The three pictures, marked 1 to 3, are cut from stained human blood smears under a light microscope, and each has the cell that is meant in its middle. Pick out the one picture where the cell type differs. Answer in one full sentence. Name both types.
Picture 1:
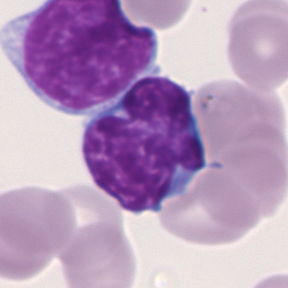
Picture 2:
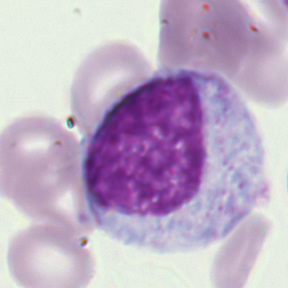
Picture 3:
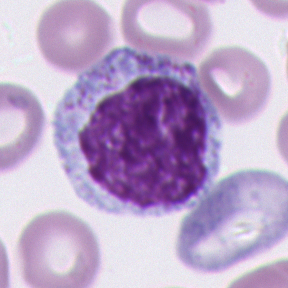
Picture 1 differs, because its cell is a large granular lymphocyte and the rest are myelocytes.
